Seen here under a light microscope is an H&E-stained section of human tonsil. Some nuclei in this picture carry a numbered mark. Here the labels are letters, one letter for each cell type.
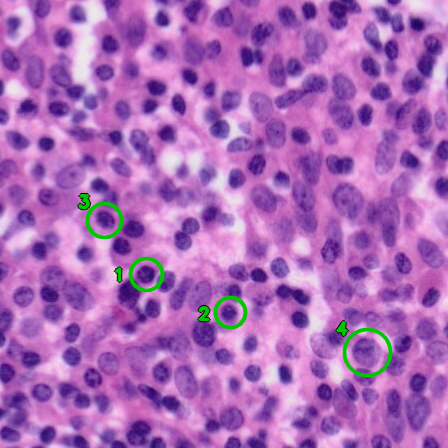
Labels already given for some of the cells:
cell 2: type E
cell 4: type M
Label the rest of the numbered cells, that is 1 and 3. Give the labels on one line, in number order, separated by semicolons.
type E; type E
